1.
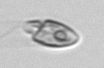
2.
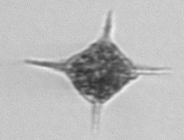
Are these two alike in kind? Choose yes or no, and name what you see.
No. First Kapelodinium, second a silicoflagellate.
